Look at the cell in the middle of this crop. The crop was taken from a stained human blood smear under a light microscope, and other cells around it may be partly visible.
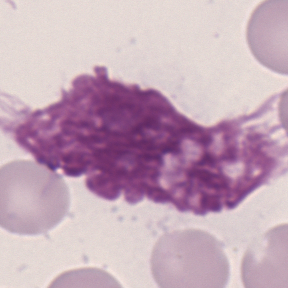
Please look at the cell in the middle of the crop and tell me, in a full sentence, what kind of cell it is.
What sits at the centre of this crop is a smudge cell.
